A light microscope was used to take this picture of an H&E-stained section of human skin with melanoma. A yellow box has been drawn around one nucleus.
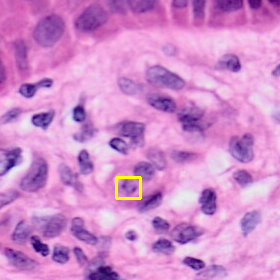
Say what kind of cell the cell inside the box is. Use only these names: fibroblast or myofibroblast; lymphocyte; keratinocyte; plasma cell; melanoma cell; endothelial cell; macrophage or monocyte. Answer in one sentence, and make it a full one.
Labelled by cell type, the cell inside the box is an endothelial cell.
